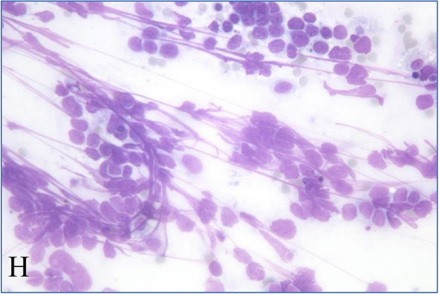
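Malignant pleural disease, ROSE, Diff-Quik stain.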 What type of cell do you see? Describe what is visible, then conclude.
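Small round to oval cells with very scant cytoplasm. Nuclei pressed against one another in loose groups. Long stretched strands of nuclear material across the smear. So: small cell carcinoma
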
